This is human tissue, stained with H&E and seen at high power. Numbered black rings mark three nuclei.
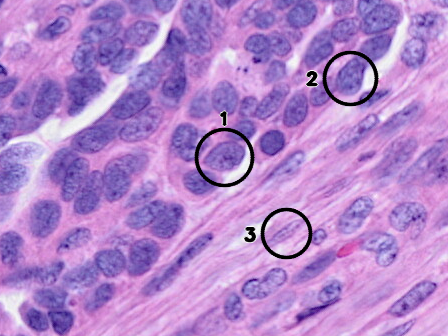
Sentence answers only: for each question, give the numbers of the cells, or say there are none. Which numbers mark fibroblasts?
Across all the numbered cells, only number 3 is a fibroblast.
